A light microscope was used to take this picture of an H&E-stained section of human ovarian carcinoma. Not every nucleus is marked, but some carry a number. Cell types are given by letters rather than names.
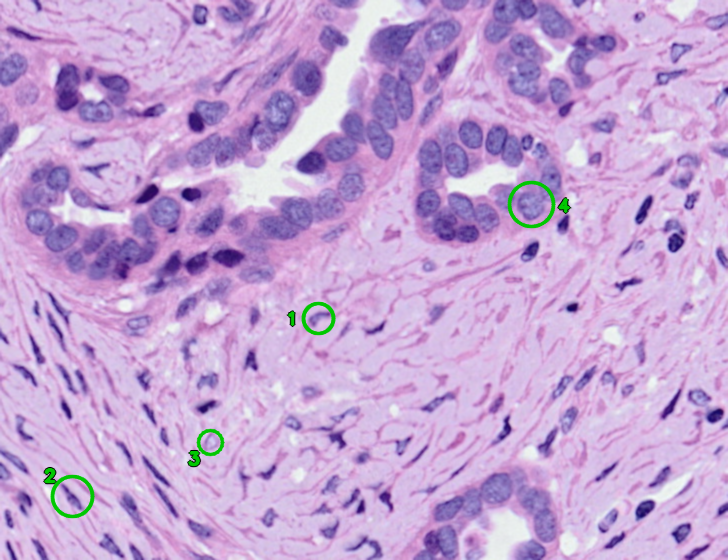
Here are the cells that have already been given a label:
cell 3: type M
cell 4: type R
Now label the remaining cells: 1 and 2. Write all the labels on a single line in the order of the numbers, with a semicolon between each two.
type M; type M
